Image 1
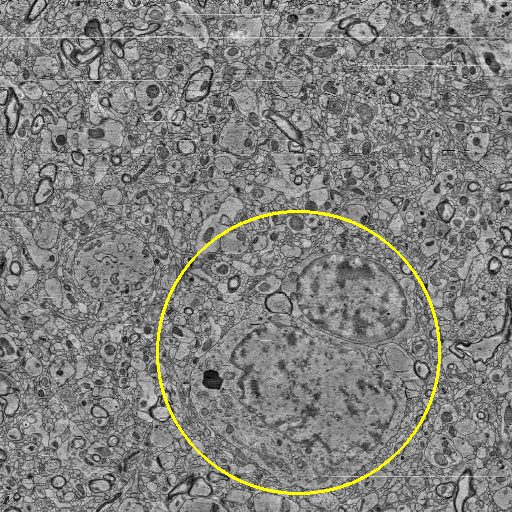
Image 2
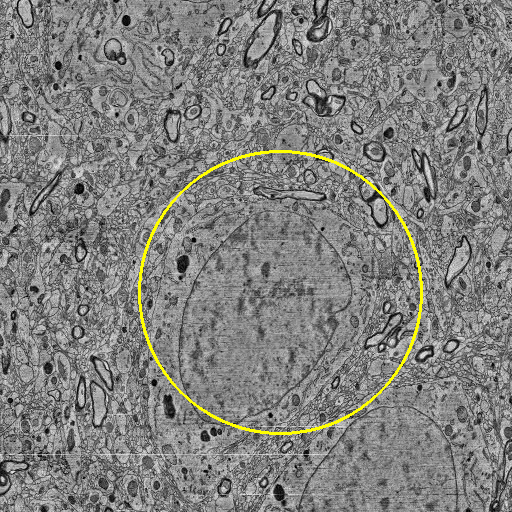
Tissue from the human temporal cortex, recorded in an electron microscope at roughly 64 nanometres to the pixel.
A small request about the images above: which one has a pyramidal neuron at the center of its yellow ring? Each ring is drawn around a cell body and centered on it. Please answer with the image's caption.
Image 2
